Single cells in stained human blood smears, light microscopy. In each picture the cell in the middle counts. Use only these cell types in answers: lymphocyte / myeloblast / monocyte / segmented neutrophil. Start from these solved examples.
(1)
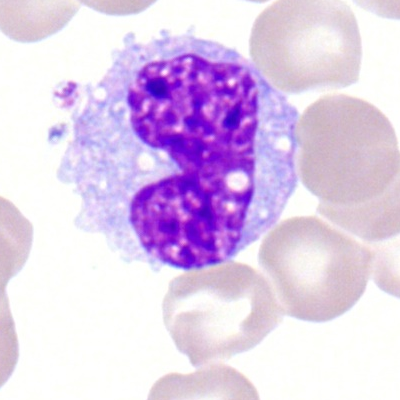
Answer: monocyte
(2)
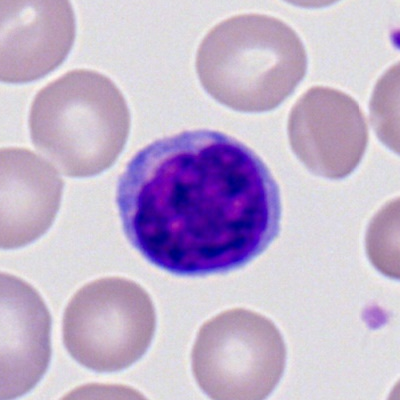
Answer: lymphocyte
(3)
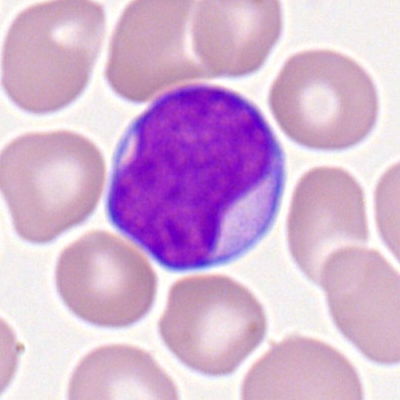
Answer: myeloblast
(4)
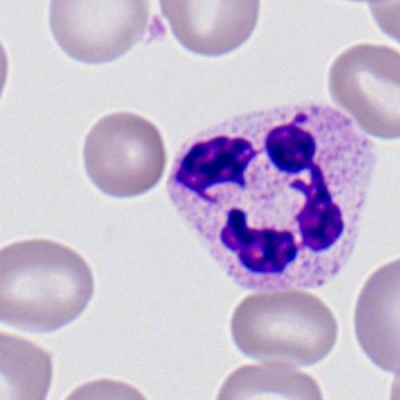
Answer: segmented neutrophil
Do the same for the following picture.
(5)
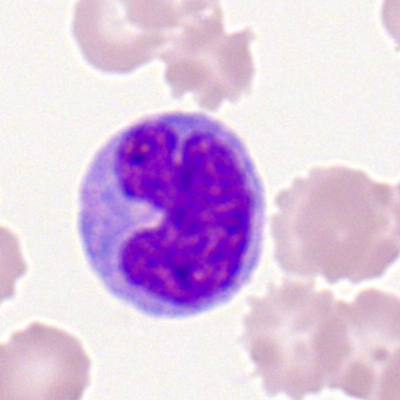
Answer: monocyte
